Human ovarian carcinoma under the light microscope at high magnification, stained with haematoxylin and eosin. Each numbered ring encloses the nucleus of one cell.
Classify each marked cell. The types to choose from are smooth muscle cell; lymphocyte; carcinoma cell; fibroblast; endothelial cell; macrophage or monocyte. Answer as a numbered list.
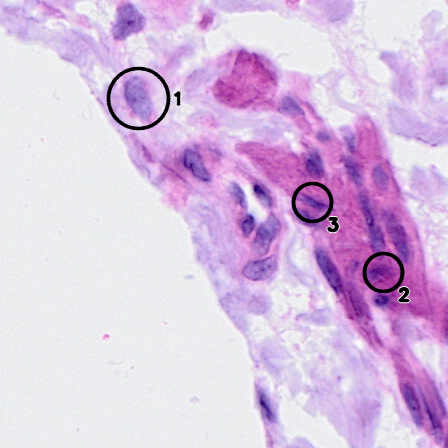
1. fibroblast
2. smooth muscle cell
3. smooth muscle cell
